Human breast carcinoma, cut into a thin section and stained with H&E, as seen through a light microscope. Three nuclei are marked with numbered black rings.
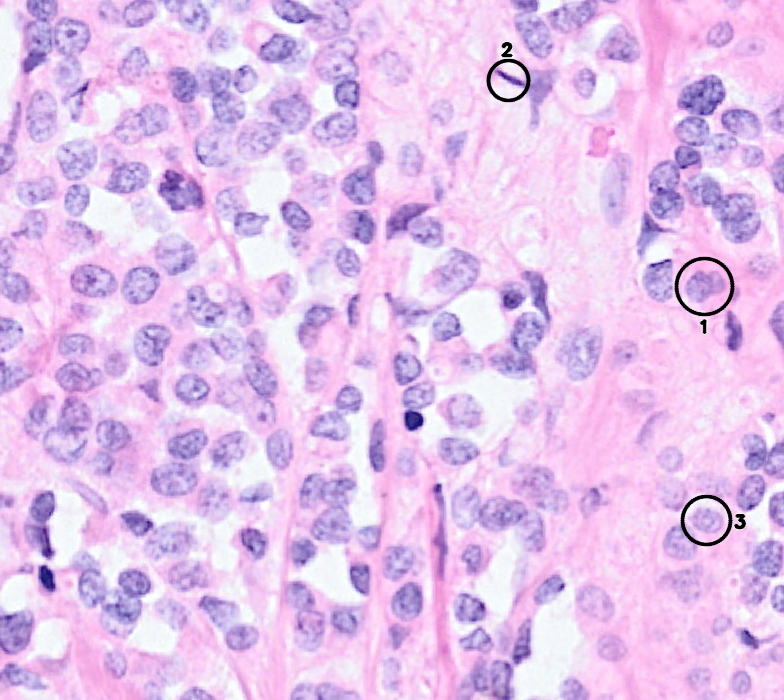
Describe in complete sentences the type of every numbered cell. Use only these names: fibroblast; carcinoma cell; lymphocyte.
Cell 1 is a carcinoma cell, cell 2 is a fibroblast and cell 3 is a carcinoma cell.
